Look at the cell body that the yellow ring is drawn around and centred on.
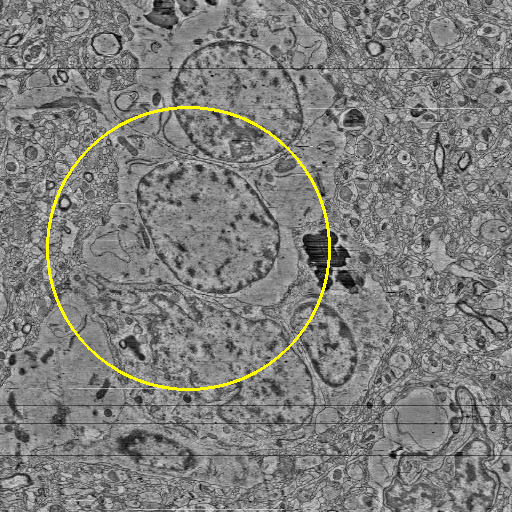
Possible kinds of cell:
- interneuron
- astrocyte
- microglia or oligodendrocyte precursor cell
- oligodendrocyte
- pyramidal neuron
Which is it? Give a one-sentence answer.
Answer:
The centred cell body is that of an astrocyte.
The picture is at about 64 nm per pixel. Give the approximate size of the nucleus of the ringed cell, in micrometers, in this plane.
Roughly 10 micrometres by 8 micrometres, in this plane.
